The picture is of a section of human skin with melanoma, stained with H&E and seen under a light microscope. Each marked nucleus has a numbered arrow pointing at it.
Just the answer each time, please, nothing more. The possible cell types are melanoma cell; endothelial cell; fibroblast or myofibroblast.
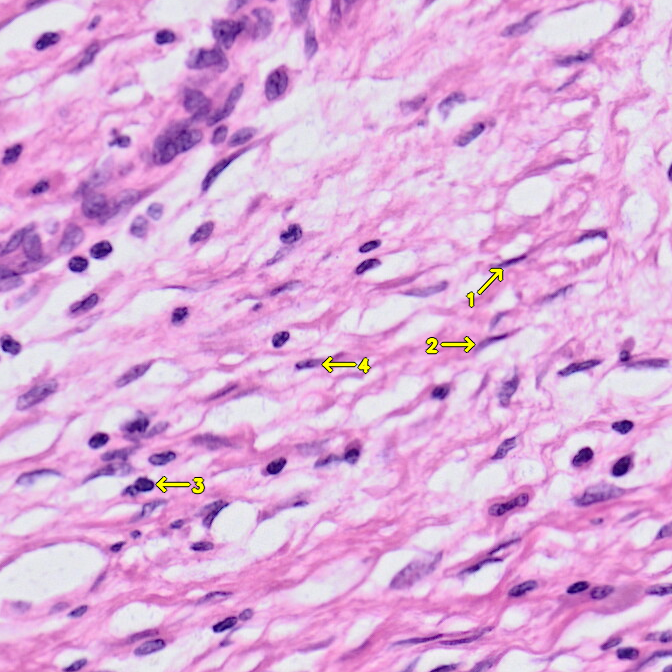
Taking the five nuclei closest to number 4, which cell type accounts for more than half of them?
fibroblast or myofibroblast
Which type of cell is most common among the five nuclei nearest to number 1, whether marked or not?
fibroblast or myofibroblast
